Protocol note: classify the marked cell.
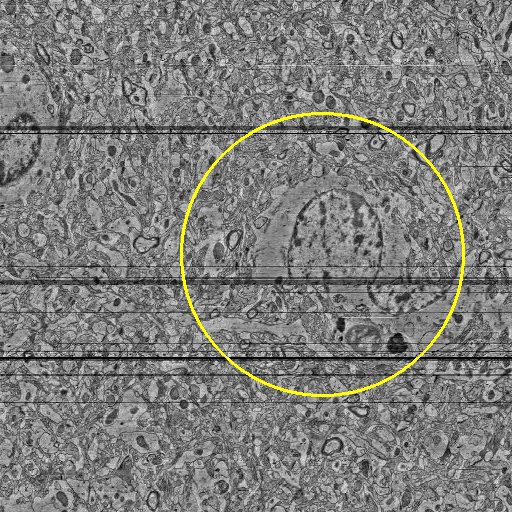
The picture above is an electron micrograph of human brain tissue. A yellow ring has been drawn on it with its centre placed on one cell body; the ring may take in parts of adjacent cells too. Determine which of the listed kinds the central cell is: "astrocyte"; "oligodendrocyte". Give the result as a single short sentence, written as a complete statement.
The central cell is an astrocyte.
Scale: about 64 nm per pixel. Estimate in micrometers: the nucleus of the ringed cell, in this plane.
Approximately 7 micrometres across in this plane.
